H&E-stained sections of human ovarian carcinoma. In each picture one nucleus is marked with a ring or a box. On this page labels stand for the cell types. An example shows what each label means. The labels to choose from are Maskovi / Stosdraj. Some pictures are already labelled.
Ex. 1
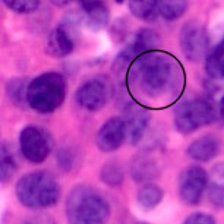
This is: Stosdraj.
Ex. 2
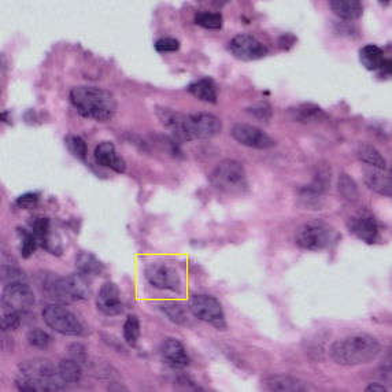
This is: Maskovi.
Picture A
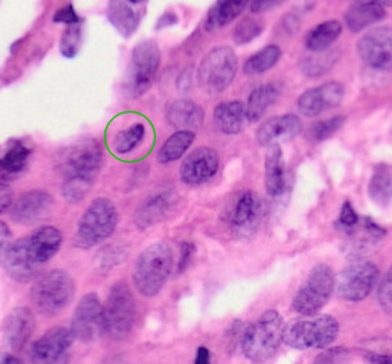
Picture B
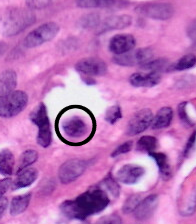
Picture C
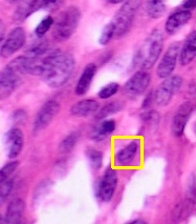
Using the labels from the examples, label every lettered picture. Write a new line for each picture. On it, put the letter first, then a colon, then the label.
A: Maskovi.
B: Stosdraj.
C: Maskovi.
